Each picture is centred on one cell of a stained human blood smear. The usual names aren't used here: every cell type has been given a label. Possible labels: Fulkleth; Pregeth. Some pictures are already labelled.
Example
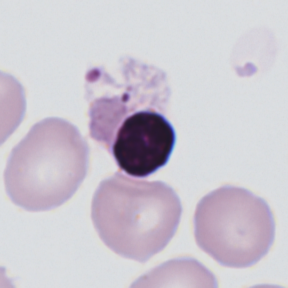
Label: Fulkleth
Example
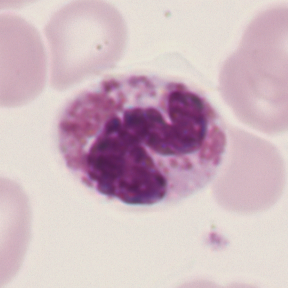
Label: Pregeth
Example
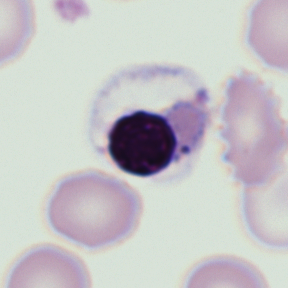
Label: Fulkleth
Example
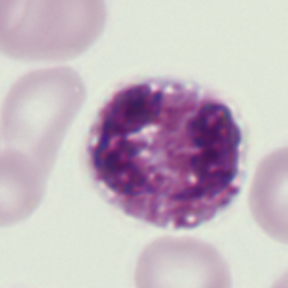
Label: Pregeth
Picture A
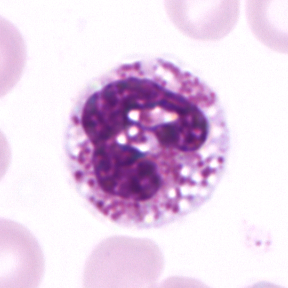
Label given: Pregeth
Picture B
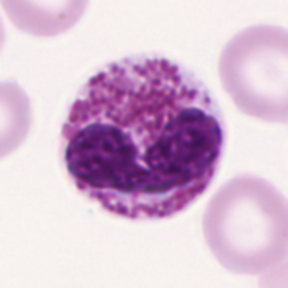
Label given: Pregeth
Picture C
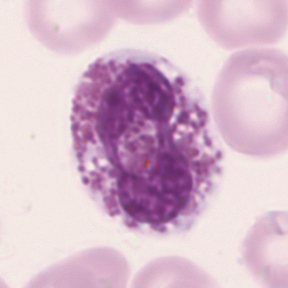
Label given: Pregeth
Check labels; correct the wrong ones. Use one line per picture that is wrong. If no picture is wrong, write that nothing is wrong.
No label is wrong.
